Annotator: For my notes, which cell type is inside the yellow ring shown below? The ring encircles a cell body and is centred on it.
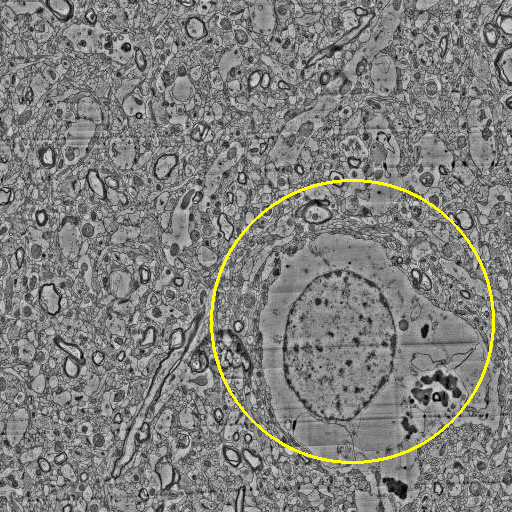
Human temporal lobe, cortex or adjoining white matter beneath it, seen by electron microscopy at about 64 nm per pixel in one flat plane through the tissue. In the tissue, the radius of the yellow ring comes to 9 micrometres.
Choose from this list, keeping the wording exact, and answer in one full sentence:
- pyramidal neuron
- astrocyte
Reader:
At the centre of the yellow ring there is an astrocyte, as shown in the picture.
